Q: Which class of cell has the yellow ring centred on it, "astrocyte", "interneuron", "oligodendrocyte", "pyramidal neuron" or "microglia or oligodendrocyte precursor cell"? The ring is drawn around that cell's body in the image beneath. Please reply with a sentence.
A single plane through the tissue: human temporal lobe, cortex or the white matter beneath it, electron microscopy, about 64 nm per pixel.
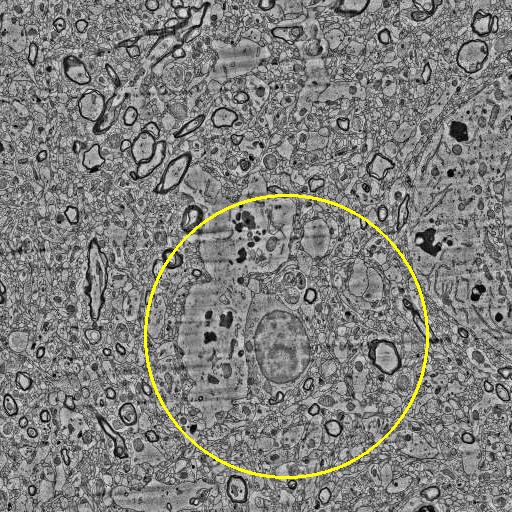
It is centred on an oligodendrocyte.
